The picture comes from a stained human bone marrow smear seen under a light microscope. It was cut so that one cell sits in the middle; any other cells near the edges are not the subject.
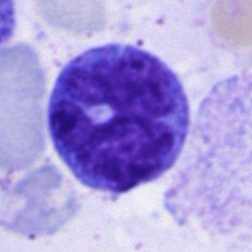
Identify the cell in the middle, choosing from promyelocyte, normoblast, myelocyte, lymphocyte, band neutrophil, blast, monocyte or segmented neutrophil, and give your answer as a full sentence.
The cell at the middle of the crop is recognized as a monocyte.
